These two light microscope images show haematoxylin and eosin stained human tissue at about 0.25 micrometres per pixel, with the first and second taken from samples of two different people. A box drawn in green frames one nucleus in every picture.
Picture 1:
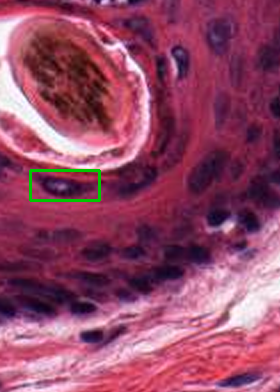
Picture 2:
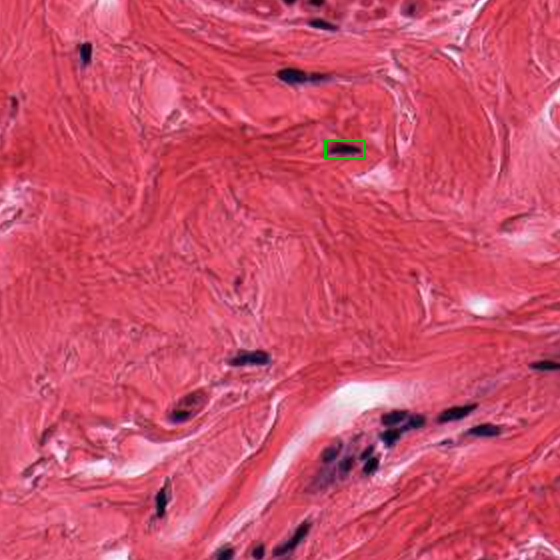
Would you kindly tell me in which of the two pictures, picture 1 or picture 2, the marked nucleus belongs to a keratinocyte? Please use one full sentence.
In picture 1, the marked nucleus is one belonging to a keratinocyte.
